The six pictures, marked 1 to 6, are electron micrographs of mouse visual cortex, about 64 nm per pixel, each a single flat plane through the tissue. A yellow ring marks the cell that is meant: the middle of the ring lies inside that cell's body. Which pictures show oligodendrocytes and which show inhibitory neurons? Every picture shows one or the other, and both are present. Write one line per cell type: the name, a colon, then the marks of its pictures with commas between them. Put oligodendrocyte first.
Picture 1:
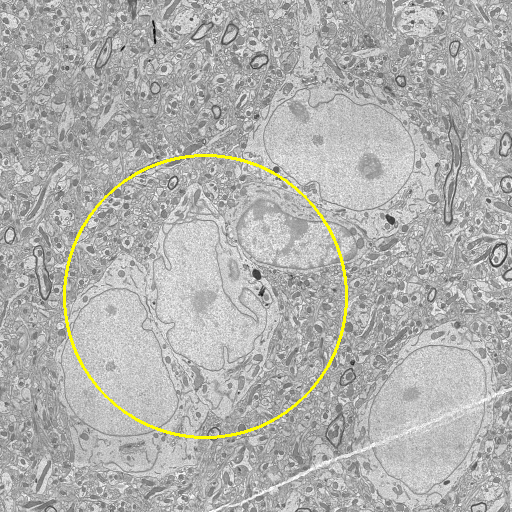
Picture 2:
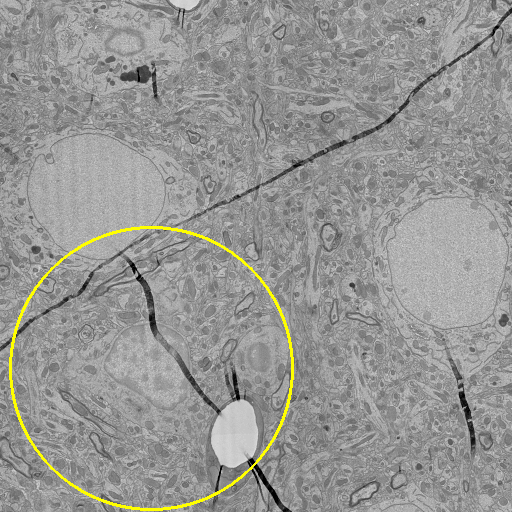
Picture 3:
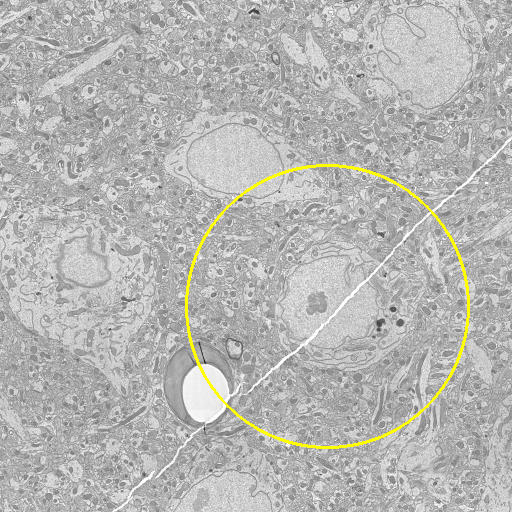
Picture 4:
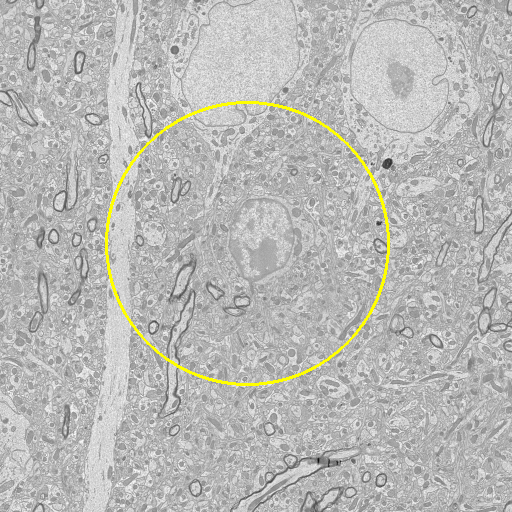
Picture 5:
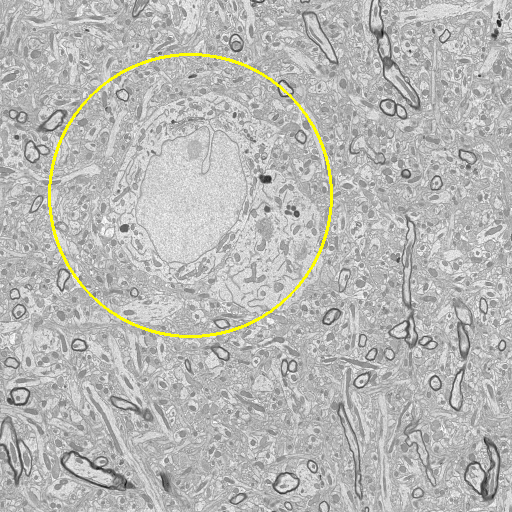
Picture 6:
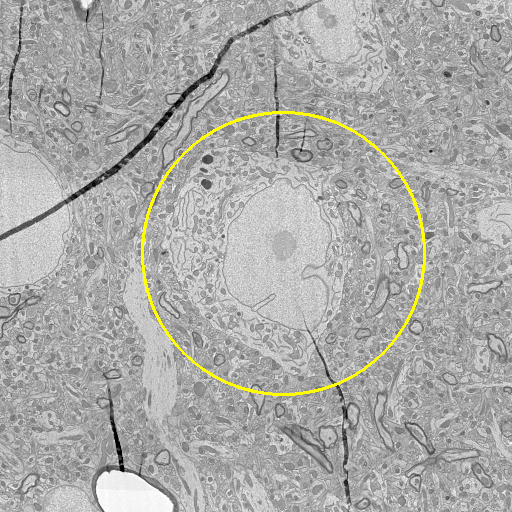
oligodendrocyte: 2, 4
inhibitory neuron: 1, 3, 5, 6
